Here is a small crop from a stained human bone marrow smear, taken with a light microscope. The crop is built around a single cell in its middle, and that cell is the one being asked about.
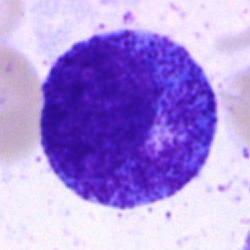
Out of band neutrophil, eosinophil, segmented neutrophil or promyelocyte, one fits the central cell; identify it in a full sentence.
In this smear crop, the middle cell is a promyelocyte.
